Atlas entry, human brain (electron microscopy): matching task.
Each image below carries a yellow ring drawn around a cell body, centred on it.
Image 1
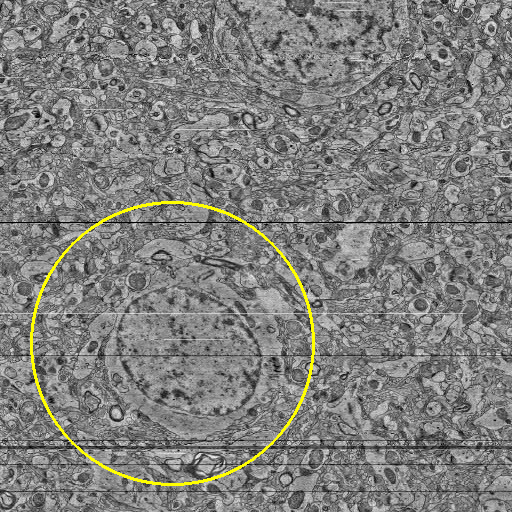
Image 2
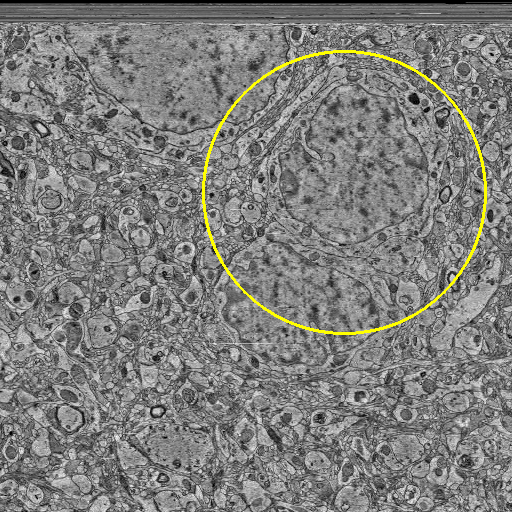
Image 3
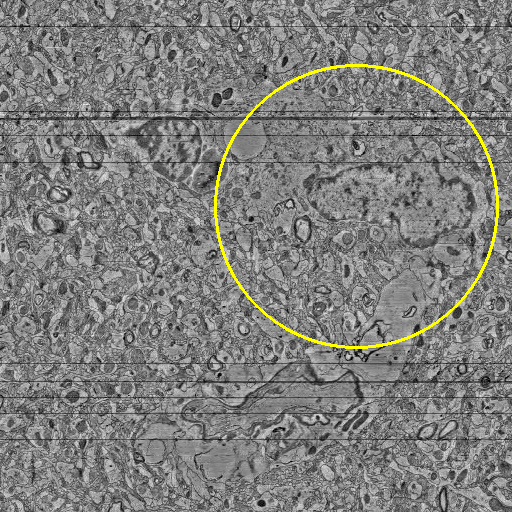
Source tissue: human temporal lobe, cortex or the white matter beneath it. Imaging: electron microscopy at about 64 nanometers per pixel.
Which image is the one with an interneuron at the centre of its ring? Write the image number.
2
